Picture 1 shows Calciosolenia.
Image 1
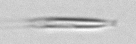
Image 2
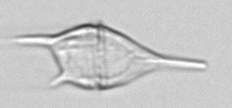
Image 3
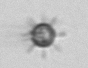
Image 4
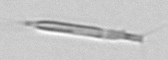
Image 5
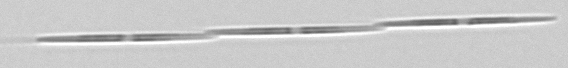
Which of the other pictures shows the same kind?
Picture 4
